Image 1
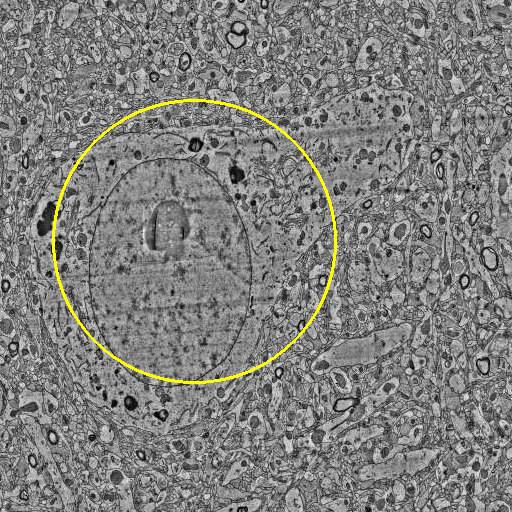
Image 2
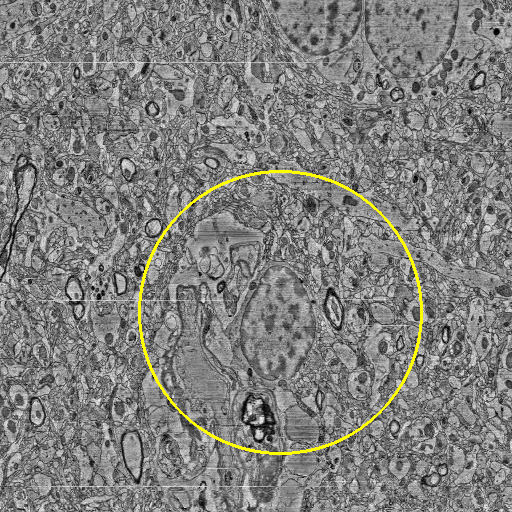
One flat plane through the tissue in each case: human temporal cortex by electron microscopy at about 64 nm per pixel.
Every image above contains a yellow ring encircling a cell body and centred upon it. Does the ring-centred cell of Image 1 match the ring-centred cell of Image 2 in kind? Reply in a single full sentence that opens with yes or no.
No, the cell at the ring's centre in Image 1 is a separate kind from that in Image 2.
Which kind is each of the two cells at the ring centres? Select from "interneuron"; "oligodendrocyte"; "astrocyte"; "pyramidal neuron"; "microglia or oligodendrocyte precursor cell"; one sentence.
The cell at the centre of the ring is a pyramidal neuron in the first picture and an oligodendrocyte in the second.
